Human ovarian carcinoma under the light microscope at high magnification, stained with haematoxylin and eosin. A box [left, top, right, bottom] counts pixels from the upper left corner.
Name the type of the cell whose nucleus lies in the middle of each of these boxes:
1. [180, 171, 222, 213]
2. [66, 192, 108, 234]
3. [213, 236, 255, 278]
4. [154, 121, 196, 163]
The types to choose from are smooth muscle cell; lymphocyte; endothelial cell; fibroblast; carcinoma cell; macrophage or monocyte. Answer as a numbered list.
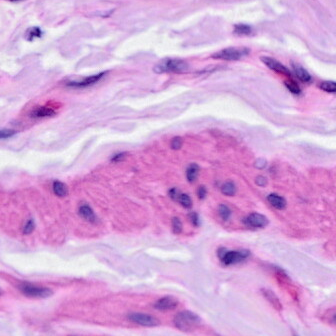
1. smooth muscle cell
2. smooth muscle cell
3. endothelial cell
4. smooth muscle cell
